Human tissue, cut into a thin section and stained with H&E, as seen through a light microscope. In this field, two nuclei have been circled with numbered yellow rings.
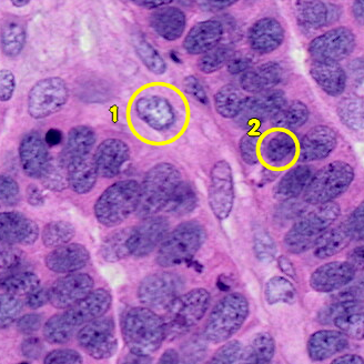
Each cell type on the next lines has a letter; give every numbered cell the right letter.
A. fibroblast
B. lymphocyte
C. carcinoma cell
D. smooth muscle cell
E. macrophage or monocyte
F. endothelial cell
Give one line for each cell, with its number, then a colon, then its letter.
1: A
2: C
